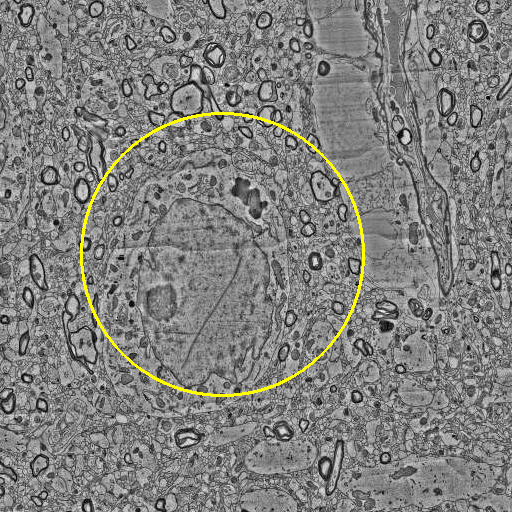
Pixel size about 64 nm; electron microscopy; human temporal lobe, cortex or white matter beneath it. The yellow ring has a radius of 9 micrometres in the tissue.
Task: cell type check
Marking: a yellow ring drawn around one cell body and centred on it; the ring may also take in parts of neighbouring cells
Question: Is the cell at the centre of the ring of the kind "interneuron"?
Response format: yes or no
yes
